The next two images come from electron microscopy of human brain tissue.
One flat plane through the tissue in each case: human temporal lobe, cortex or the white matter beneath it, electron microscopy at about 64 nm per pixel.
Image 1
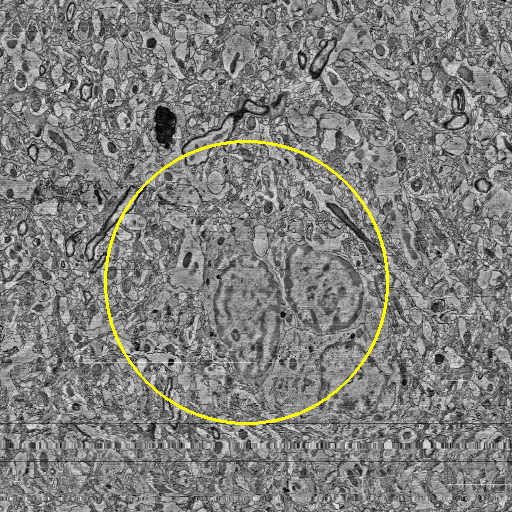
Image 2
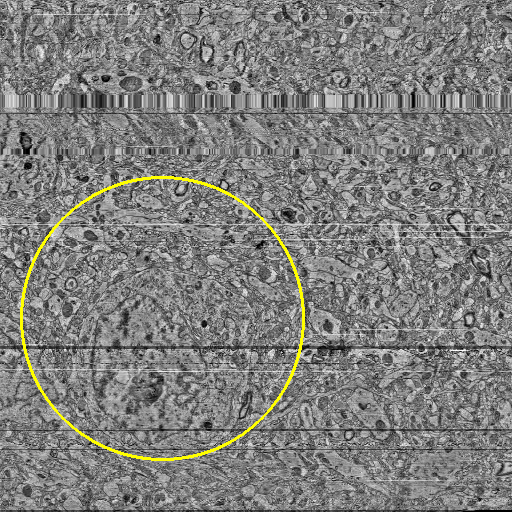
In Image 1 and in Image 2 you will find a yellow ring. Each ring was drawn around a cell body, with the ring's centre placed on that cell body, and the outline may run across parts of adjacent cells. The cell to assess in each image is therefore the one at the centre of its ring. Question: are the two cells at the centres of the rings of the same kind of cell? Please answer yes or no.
no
